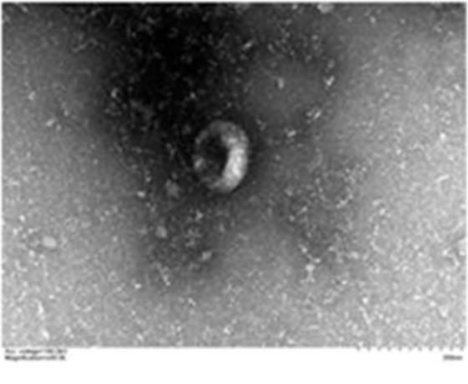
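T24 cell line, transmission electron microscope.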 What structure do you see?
Exosomes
